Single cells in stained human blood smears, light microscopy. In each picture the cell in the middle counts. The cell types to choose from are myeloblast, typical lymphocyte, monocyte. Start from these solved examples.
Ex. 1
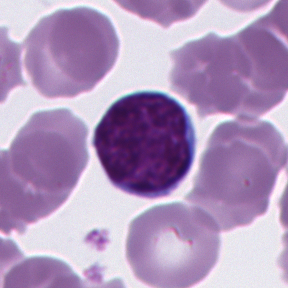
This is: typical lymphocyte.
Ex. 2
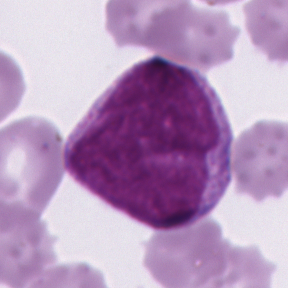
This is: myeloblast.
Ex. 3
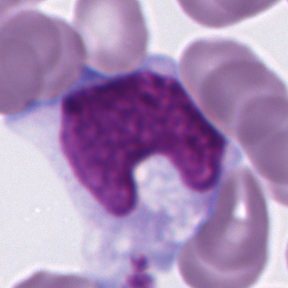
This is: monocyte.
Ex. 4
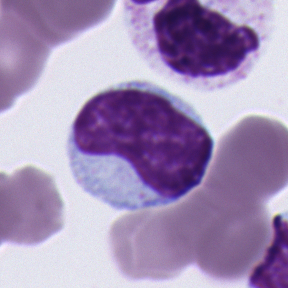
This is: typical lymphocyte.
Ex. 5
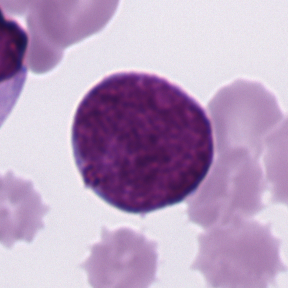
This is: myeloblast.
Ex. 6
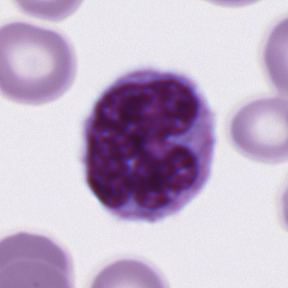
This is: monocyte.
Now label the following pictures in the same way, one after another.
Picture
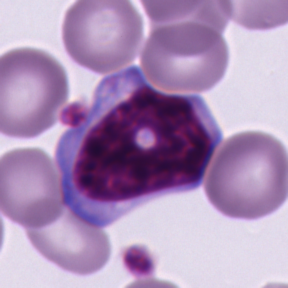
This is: typical lymphocyte.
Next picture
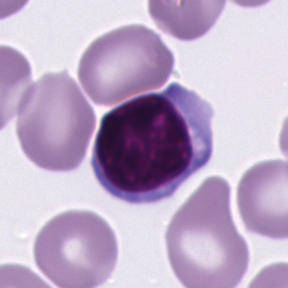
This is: typical lymphocyte.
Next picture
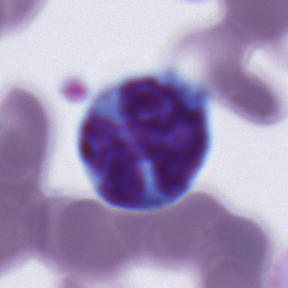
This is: monocyte.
